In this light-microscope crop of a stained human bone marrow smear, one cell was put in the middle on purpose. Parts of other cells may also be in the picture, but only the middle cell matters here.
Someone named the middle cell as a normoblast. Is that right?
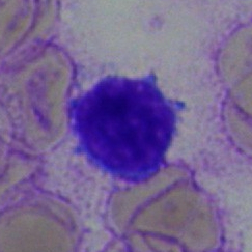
no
